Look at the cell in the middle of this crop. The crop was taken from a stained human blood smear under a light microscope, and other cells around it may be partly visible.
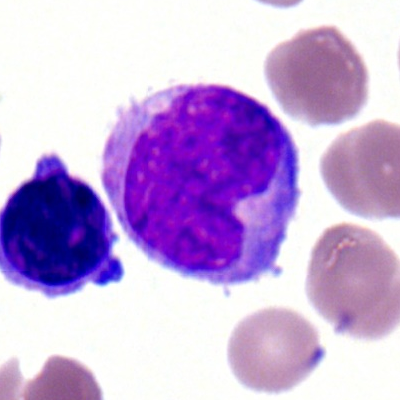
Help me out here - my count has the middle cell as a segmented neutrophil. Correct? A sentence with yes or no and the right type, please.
No, this is not a segmented neutrophil at all; the cell in the middle is a monocyte.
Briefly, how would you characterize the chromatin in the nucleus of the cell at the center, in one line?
Answer: the chromatin is fine and has no coarse clumps.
